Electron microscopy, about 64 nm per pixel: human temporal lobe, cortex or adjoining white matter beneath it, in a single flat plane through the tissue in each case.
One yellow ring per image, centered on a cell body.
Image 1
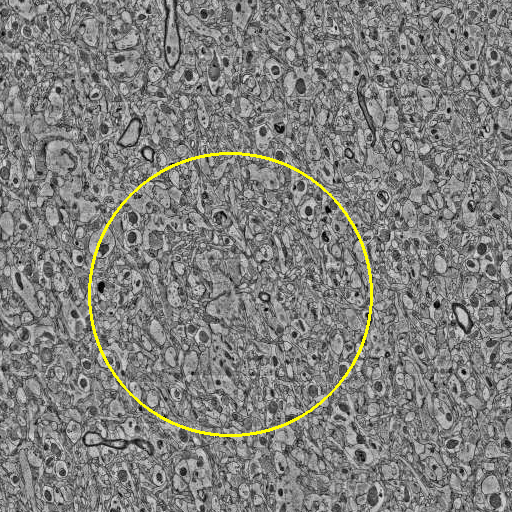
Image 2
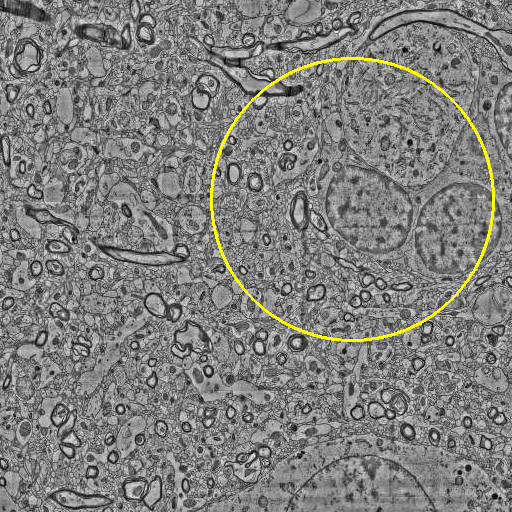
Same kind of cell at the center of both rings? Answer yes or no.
no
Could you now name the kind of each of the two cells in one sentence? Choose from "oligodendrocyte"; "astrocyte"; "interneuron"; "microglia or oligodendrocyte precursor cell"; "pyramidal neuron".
The first ring encloses an interneuron; the second ring encloses an oligodendrocyte.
